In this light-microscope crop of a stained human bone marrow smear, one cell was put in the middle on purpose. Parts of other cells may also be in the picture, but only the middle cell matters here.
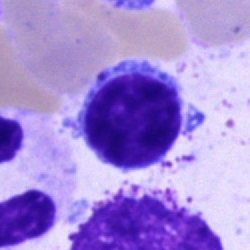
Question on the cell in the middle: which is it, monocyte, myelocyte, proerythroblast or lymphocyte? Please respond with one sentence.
The middle position in this crop is taken by a lymphocyte.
